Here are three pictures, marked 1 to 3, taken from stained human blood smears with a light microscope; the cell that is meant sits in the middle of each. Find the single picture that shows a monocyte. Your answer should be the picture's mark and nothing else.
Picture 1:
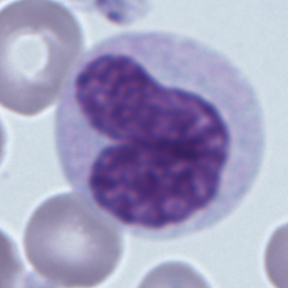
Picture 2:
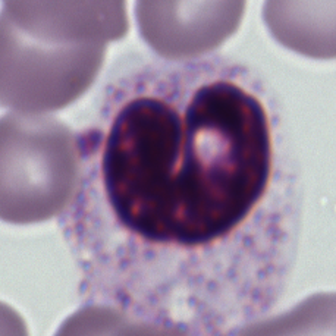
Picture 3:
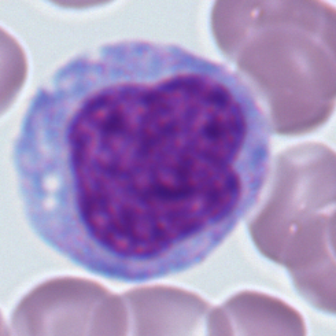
3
